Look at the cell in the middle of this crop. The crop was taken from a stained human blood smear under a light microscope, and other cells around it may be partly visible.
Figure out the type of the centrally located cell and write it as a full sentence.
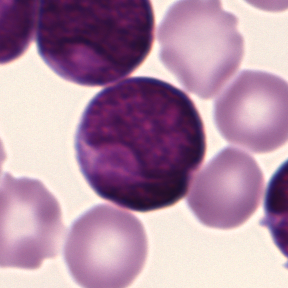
At the middle of the frame sits a blast.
